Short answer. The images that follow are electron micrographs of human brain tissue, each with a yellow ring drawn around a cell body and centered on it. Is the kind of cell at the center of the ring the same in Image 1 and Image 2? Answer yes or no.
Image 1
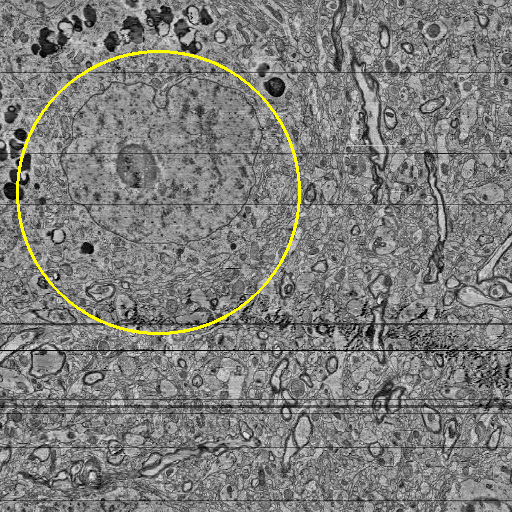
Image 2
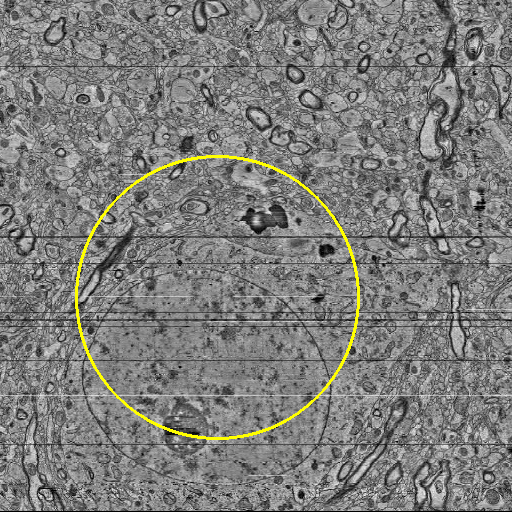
yes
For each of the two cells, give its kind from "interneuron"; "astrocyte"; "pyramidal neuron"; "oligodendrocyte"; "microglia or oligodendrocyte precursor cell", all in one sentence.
Each of the two pictures has a pyramidal neuron at the ring centre.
